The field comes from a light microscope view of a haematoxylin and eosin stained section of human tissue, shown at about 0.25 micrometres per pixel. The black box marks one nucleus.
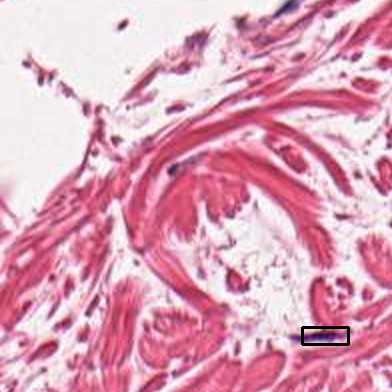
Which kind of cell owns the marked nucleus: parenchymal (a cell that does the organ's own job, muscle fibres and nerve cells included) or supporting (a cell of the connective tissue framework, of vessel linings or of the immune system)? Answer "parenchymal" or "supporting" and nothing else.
supporting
